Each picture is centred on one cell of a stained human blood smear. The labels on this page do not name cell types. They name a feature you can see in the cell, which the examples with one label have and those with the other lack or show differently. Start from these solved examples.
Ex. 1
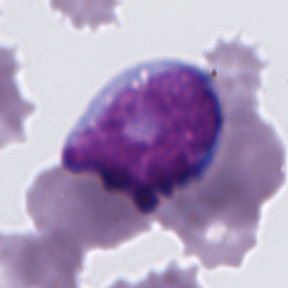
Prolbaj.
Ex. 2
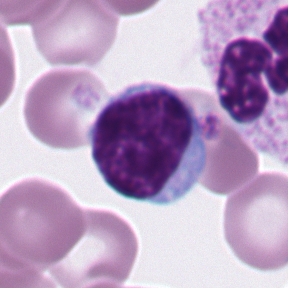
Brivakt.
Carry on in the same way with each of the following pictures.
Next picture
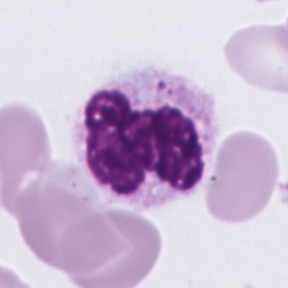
Prolbaj.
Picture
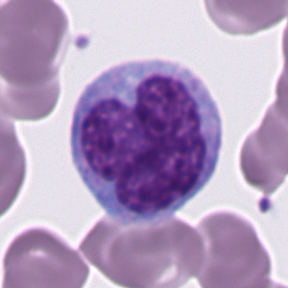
Brivakt.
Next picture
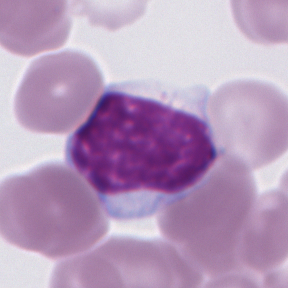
Prolbaj.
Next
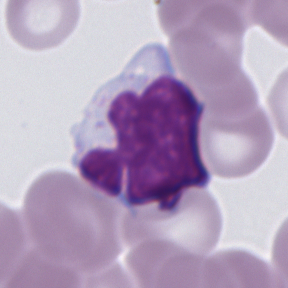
Prolbaj.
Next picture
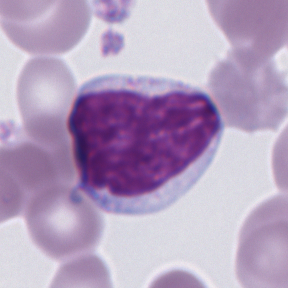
Brivakt.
